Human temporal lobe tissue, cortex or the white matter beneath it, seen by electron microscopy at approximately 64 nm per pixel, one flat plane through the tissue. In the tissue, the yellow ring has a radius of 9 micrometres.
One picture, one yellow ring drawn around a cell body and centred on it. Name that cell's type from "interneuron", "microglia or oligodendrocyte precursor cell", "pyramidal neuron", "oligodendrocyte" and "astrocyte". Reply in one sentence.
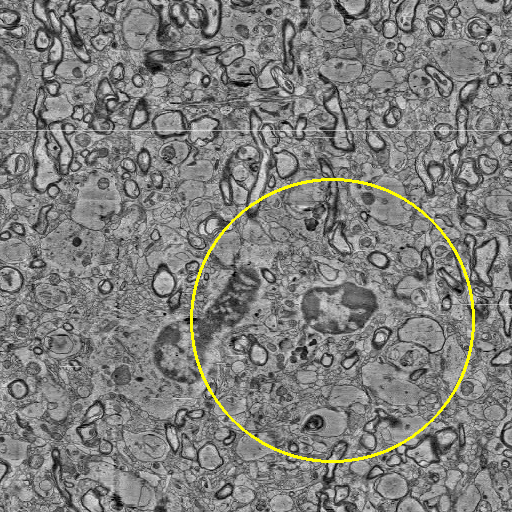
Centred in the ring is a microglial cell or oligodendrocyte precursor cell.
